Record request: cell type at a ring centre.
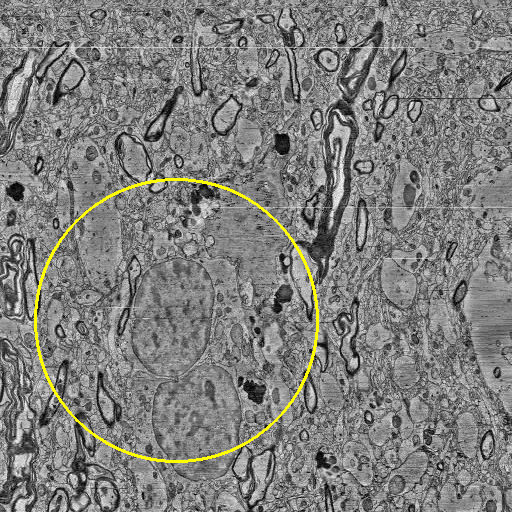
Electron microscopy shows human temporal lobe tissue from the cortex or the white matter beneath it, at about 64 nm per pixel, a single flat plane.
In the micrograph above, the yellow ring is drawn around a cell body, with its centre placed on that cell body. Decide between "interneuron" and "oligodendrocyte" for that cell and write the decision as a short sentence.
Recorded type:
The cell centred in the yellow ring is an oligodendrocyte.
